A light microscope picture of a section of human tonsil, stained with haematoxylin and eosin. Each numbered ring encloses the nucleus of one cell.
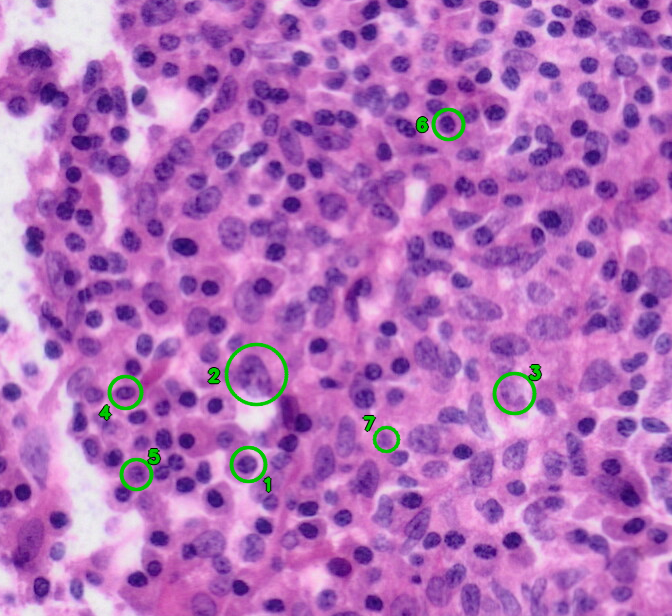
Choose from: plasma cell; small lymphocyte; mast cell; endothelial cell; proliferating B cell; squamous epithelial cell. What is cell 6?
plasma cell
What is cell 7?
squamous epithelial cell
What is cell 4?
plasma cell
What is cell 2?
squamous epithelial cell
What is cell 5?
plasma cell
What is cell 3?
squamous epithelial cell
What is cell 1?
plasma cell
